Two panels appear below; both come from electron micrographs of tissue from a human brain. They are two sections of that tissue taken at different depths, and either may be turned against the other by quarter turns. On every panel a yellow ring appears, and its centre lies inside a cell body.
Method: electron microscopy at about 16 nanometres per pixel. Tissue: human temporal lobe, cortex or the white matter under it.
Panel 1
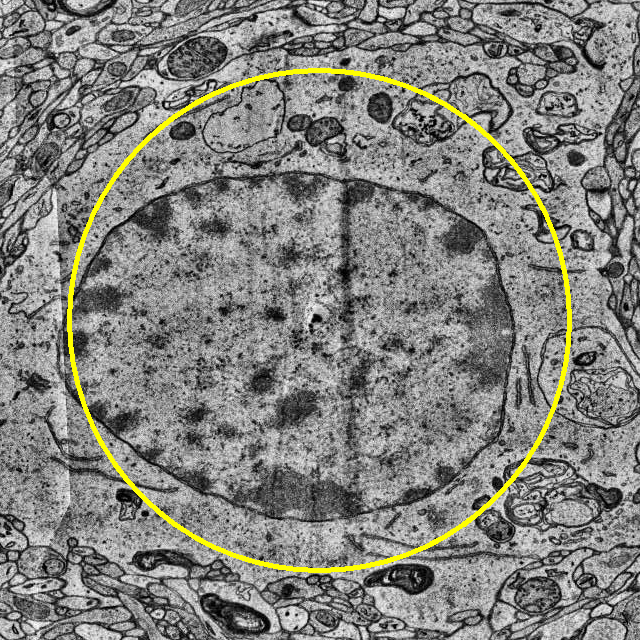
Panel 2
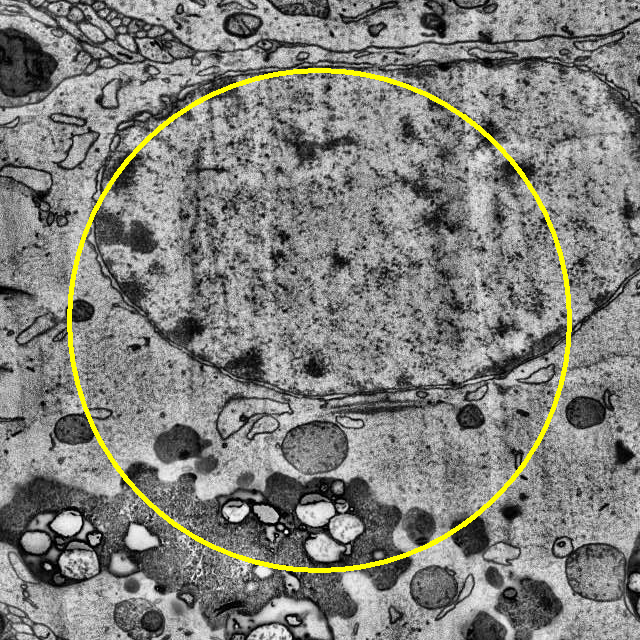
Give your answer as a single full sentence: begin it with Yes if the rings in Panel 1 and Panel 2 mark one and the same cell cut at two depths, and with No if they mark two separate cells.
No, the two rings indicate two different cells, not one.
